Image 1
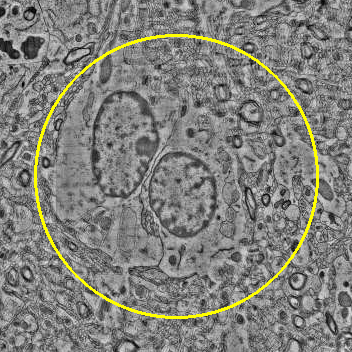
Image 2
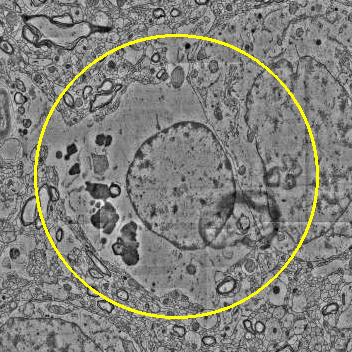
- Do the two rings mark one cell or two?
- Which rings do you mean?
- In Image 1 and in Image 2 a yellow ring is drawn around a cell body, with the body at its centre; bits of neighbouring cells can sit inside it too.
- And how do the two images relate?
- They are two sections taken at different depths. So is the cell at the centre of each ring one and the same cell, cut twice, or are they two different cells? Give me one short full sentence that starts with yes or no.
No, it is two different cells that the rings mark.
